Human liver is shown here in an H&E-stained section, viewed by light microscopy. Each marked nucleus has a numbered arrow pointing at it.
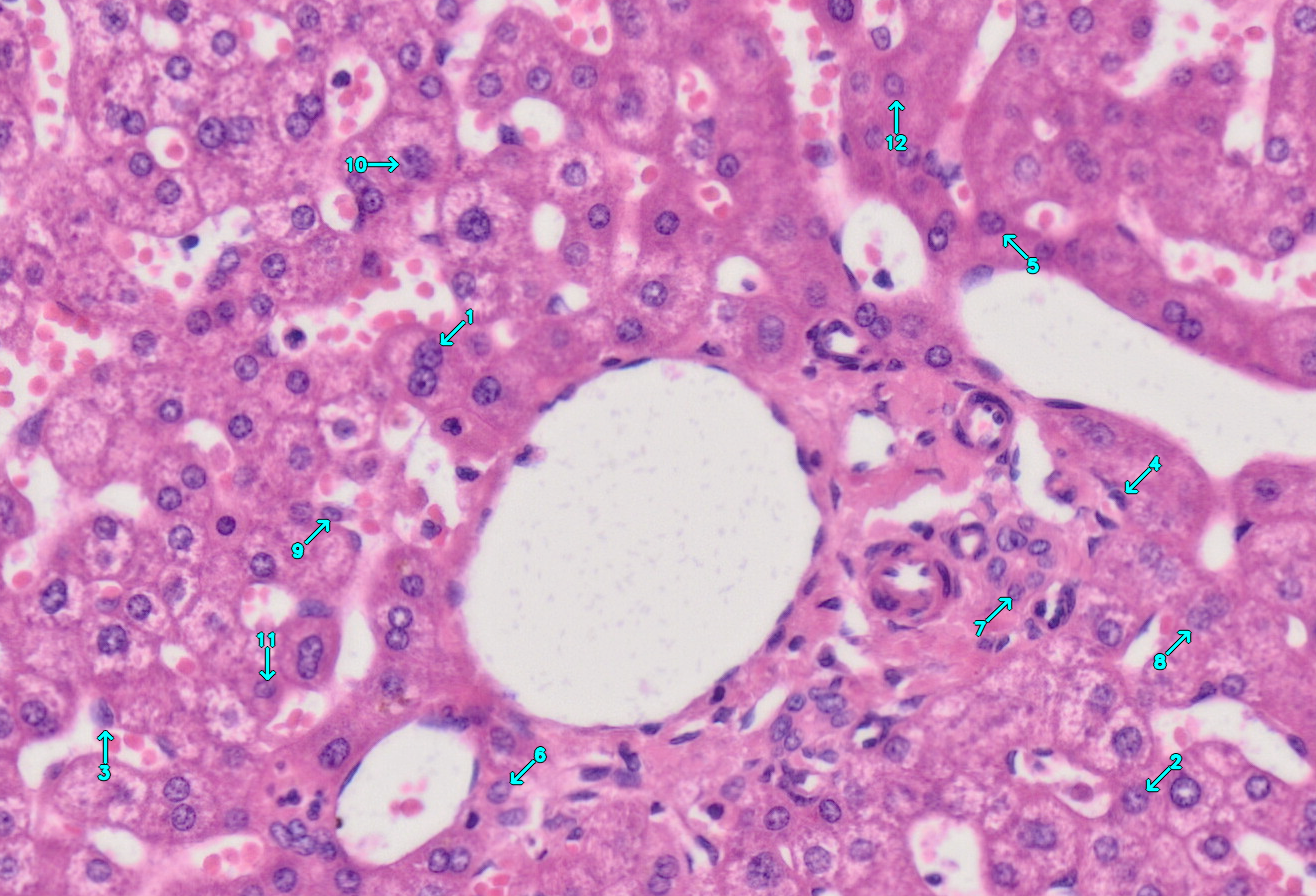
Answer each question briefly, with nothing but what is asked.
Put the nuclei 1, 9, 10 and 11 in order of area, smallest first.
9, 11, 1, 10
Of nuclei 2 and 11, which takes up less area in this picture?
11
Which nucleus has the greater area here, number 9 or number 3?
3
